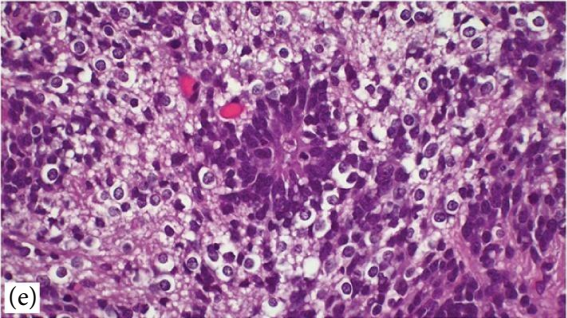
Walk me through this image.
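This embryonal tumor contains a rosette made of several layers of crowded small cells with dark, elongated nuclei arranged radially around a small central lumen. Around it lie sheets of small round cells with round nuclei surrounded by clear, pale cytoplasm, set in a pale fibrillary background with a few red blood cells.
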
